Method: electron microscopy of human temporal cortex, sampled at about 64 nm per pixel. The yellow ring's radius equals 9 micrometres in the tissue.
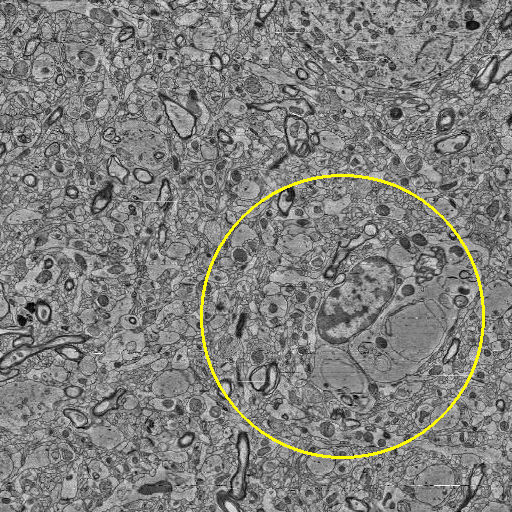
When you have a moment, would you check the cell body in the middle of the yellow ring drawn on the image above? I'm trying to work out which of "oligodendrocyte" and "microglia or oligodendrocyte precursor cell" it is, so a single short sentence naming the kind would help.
This cell body belongs to a microglial cell or oligodendrocyte precursor cell.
